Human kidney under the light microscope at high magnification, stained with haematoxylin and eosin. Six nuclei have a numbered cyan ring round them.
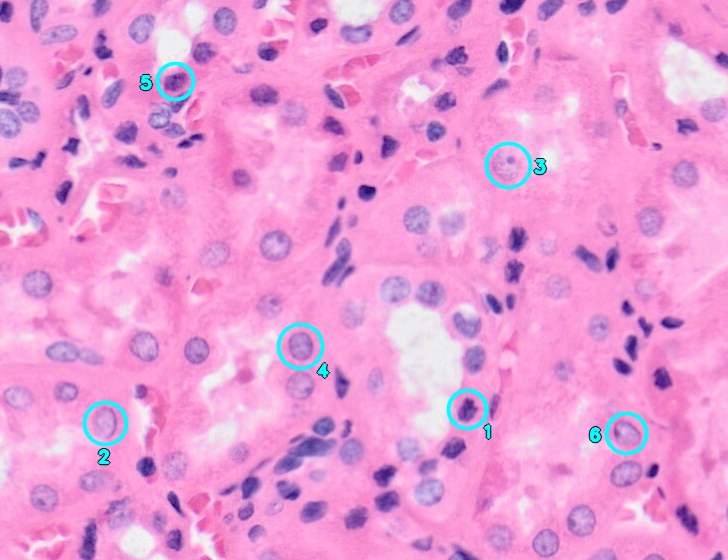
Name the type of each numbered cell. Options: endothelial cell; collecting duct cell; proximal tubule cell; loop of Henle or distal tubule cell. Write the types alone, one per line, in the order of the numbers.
loop of Henle or distal tubule cell
proximal tubule cell
proximal tubule cell
proximal tubule cell
loop of Henle or distal tubule cell
proximal tubule cell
